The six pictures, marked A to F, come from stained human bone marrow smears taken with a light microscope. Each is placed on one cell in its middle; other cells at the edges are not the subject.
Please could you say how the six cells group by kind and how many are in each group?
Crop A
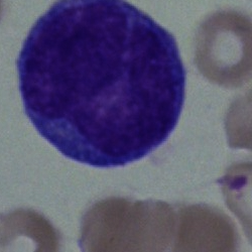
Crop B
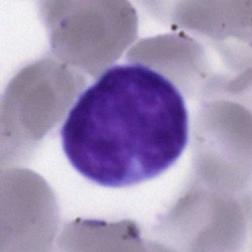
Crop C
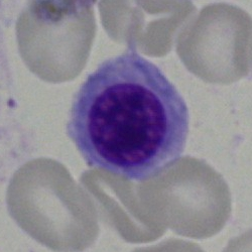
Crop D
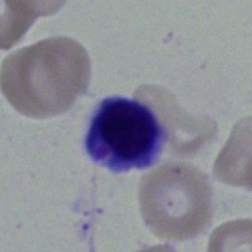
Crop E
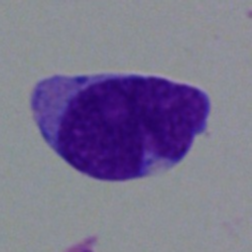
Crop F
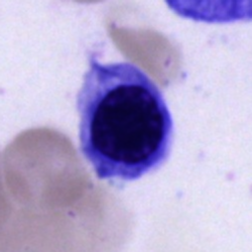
erythroblast: 3
blast: 2
lymphocyte: 1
